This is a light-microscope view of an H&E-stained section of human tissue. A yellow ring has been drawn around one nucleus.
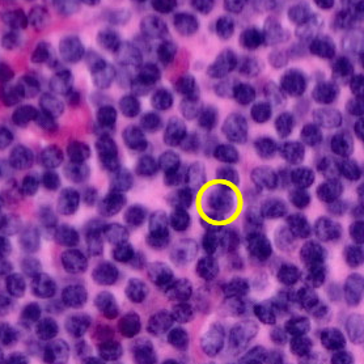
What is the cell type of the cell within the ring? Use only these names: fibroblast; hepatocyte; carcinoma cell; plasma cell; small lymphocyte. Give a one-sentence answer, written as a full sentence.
Recorded by type, the cell within the ring is a small lymphocyte.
